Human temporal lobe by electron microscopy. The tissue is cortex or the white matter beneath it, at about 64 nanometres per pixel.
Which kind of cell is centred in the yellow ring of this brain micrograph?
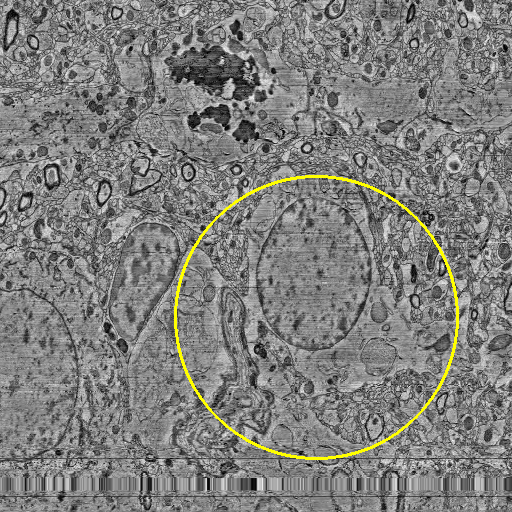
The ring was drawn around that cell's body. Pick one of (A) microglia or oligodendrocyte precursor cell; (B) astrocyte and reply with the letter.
B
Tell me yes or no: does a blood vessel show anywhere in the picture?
Yes, there is a blood vessel in the image.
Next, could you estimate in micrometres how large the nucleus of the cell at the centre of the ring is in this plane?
About 10 micrometres by about 7 micrometres in this plane.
